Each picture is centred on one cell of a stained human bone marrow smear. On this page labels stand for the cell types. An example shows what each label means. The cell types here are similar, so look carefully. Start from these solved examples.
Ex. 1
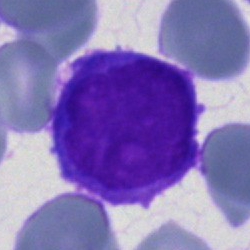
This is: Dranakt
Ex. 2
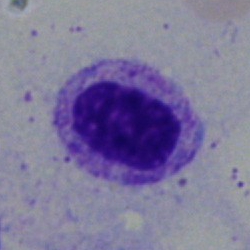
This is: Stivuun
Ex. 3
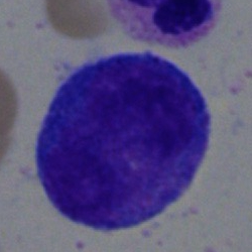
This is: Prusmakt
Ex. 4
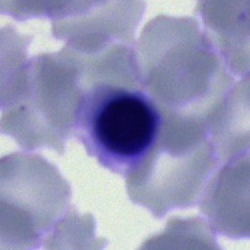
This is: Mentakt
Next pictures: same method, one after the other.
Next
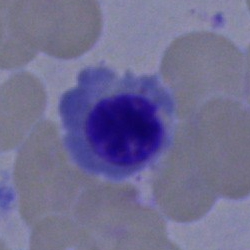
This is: Mentakt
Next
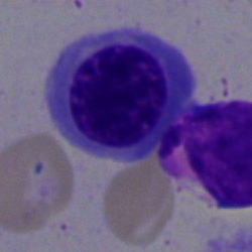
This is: Mentakt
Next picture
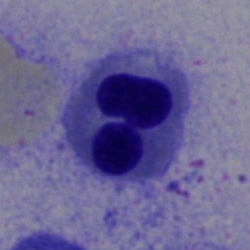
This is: Mentakt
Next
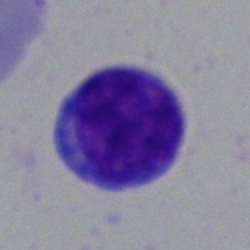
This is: Dranakt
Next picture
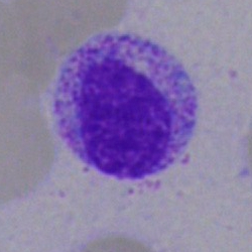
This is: Stivuun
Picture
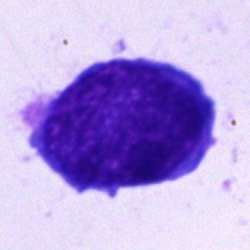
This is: Dranakt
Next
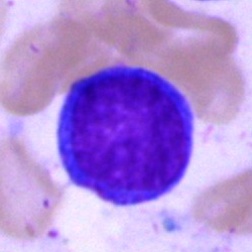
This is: Dranakt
